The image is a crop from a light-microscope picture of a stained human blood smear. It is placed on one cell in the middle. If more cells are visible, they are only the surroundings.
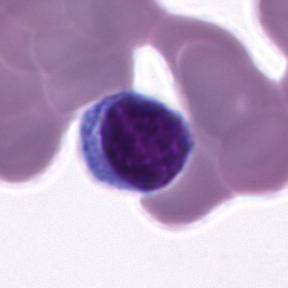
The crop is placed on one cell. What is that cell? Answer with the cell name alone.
plasma cell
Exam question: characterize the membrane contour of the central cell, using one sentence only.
Smooth outline, no projections: that is the whole story of its edge.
